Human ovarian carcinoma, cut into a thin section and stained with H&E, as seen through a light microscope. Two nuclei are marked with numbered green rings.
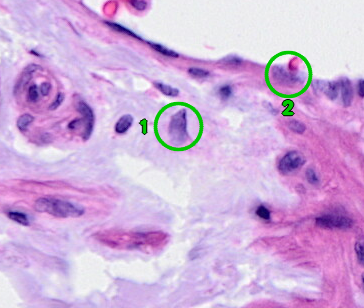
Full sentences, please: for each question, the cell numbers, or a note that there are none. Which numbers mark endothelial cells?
The only cell among those numbered to be an endothelial cell is number 2.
